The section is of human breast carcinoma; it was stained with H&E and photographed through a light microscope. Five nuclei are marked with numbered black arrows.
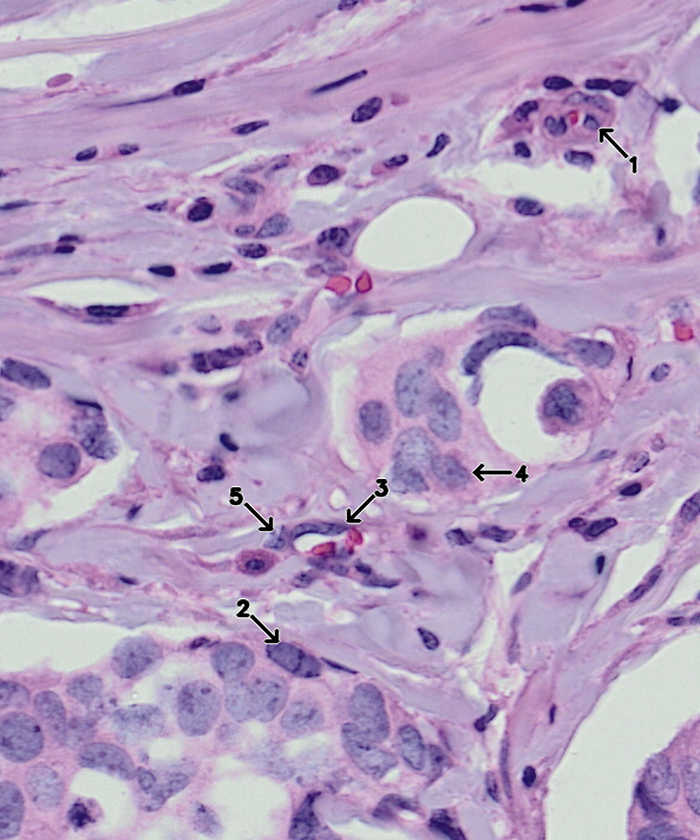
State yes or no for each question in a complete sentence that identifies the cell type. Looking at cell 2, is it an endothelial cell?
No, what is marked as number 2 is a carcinoma cell rather than an endothelial cell.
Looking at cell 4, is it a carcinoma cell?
Yes, the cell distinguished by number 4 is a carcinoma cell.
